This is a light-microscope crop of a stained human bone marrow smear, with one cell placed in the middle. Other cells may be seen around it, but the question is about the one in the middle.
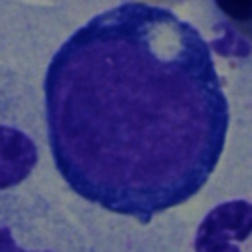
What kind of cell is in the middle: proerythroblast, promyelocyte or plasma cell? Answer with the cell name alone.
proerythroblast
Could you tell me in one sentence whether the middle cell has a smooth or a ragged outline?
As for its outline, the cell is irregular, ragged or drawn into projections.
